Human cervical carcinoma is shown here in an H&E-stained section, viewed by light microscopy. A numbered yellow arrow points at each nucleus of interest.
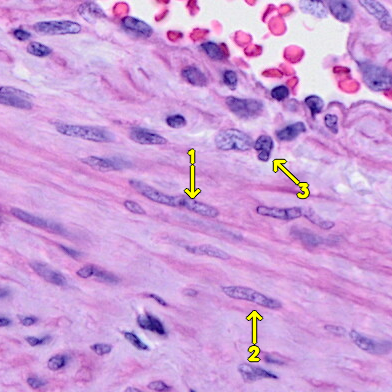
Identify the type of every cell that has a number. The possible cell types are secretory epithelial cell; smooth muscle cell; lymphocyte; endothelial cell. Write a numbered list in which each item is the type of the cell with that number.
1. smooth muscle cell
2. smooth muscle cell
3. lymphocyte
